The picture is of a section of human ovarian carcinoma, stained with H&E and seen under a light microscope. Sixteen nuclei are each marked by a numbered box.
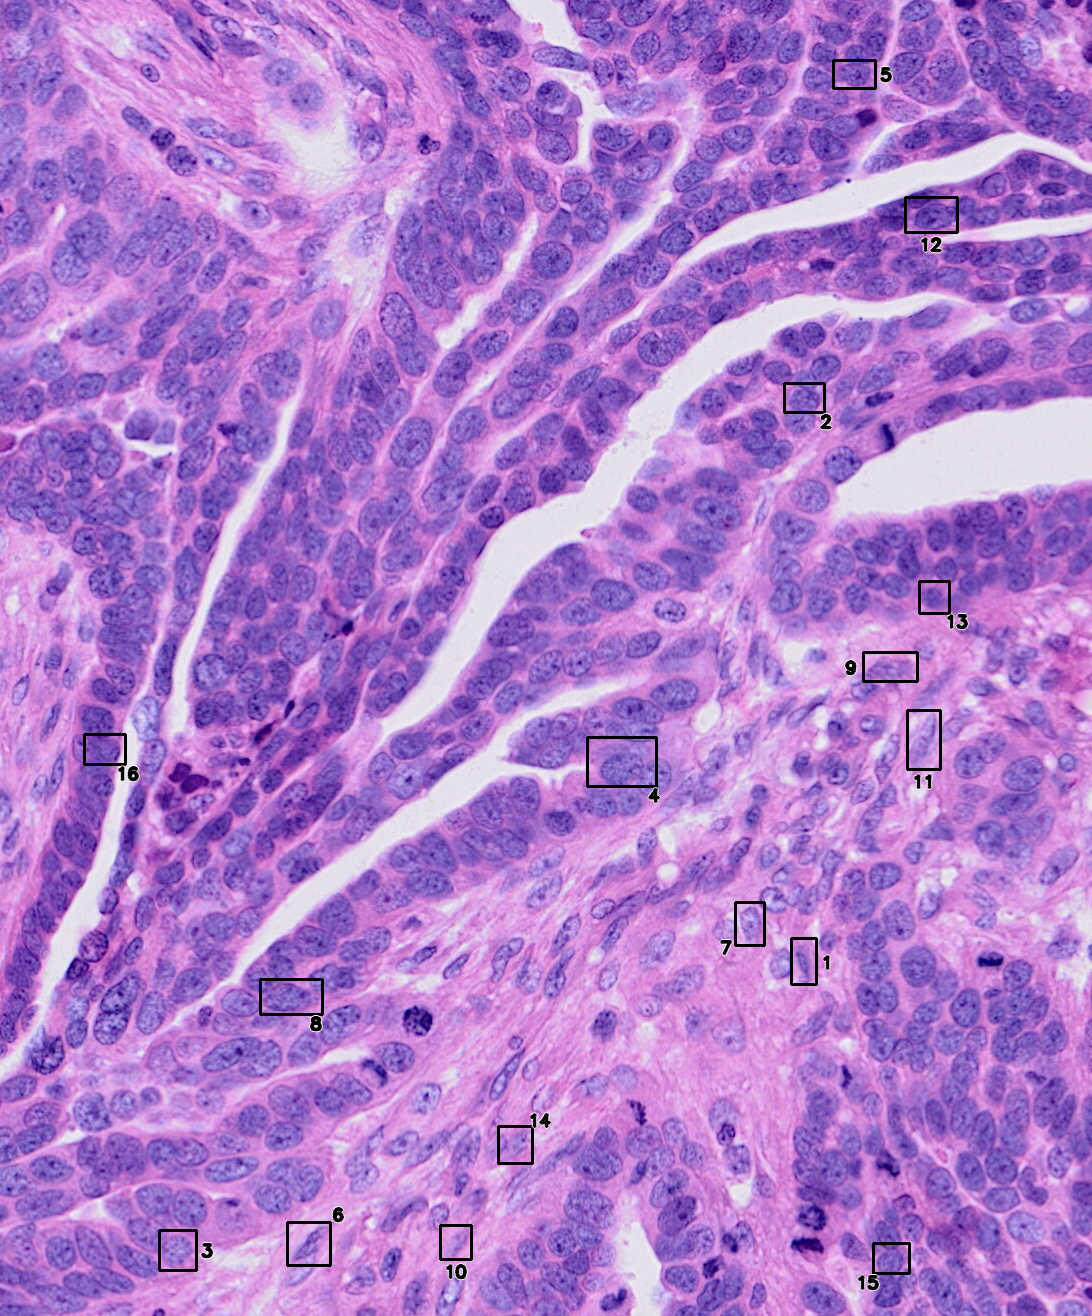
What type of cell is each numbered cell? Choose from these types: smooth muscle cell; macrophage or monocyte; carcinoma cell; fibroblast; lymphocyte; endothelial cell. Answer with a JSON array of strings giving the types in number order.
["fibroblast", "carcinoma cell", "carcinoma cell", "carcinoma cell", "carcinoma cell", "fibroblast", "fibroblast", "carcinoma cell", "fibroblast", "fibroblast", "fibroblast", "carcinoma cell", "carcinoma cell", "fibroblast", "carcinoma cell", "carcinoma cell"]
